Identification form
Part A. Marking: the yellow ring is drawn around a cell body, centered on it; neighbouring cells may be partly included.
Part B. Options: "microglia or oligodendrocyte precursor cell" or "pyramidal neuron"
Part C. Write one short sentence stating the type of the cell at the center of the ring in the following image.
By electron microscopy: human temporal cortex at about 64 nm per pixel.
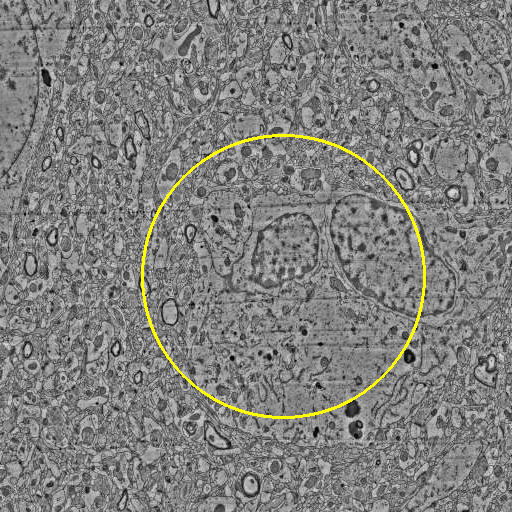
The center of the ring holds a microglial cell or oligodendrocyte precursor cell.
